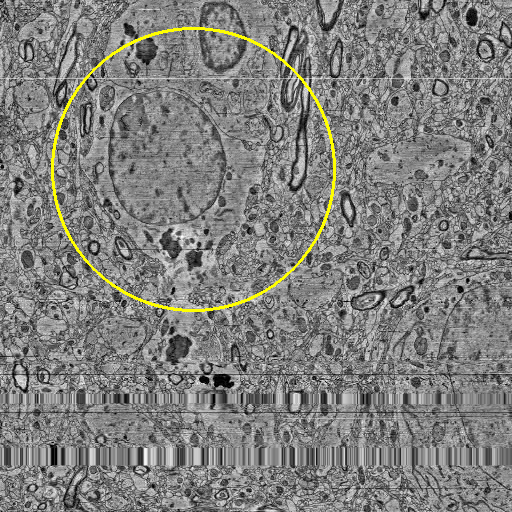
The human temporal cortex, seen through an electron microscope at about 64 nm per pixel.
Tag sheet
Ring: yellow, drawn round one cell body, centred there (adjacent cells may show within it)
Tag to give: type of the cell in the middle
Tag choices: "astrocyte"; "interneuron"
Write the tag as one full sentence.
I tag the cell centred in the yellow ring as an astrocyte in this picture.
